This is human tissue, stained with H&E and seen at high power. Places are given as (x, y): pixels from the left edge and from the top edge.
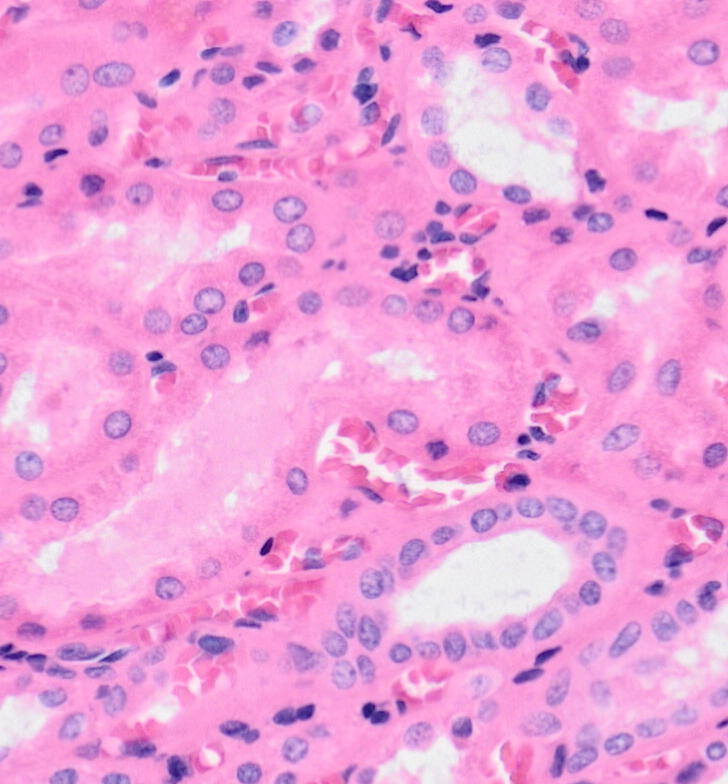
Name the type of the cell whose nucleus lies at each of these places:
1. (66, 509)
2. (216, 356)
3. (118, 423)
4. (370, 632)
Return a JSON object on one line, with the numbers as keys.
{"1": "proximal tubule cell", "2": "proximal tubule cell", "3": "proximal tubule cell", "4": "collecting duct cell"}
